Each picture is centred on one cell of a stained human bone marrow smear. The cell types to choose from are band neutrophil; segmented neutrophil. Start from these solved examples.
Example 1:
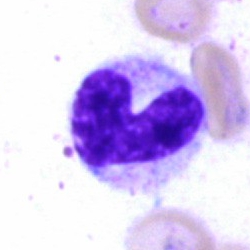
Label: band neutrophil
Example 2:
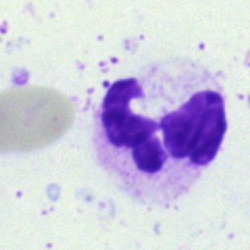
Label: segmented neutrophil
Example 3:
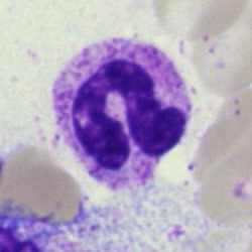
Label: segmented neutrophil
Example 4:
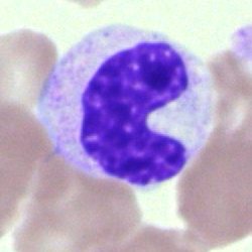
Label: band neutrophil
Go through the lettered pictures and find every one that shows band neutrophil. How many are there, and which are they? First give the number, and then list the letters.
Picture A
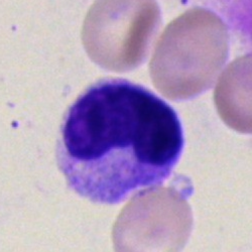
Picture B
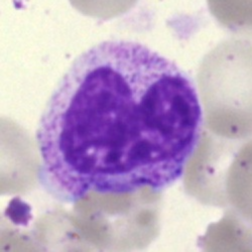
2, namely A, B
